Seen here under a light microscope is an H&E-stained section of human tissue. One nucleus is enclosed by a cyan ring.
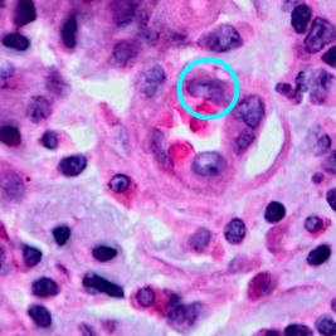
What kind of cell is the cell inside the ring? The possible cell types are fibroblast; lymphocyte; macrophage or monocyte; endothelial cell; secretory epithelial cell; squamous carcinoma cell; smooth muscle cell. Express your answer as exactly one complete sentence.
It is an endothelial cell that the cell inside the ring represents.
